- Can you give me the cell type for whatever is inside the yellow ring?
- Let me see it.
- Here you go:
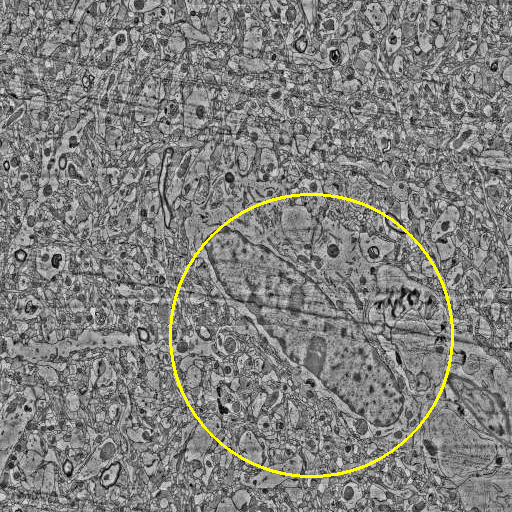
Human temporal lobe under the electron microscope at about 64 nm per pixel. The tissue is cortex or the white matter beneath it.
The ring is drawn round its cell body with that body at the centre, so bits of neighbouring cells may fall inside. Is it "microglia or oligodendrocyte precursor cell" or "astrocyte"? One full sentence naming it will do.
The cell body in the middle of the ring in this picture belongs to a microglial cell or oligodendrocyte precursor cell.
